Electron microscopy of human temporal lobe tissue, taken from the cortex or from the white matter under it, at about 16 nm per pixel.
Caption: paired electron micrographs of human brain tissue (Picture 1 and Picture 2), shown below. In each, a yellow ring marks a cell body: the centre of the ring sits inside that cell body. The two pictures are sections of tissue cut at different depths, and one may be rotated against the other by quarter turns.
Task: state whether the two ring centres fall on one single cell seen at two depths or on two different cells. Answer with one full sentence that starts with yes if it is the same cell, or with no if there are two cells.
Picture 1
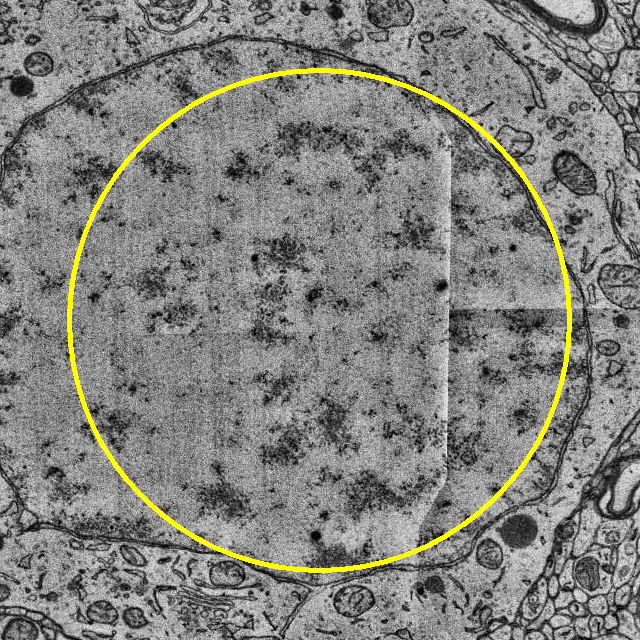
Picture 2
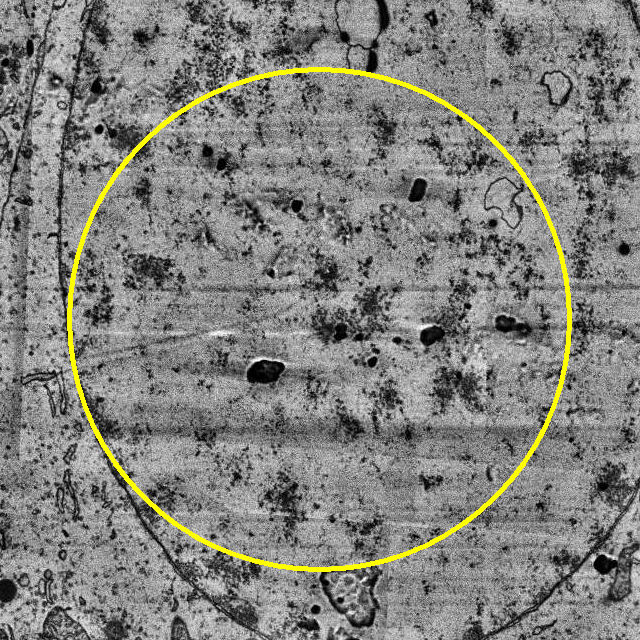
No, the ringed cells are two separate cells.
